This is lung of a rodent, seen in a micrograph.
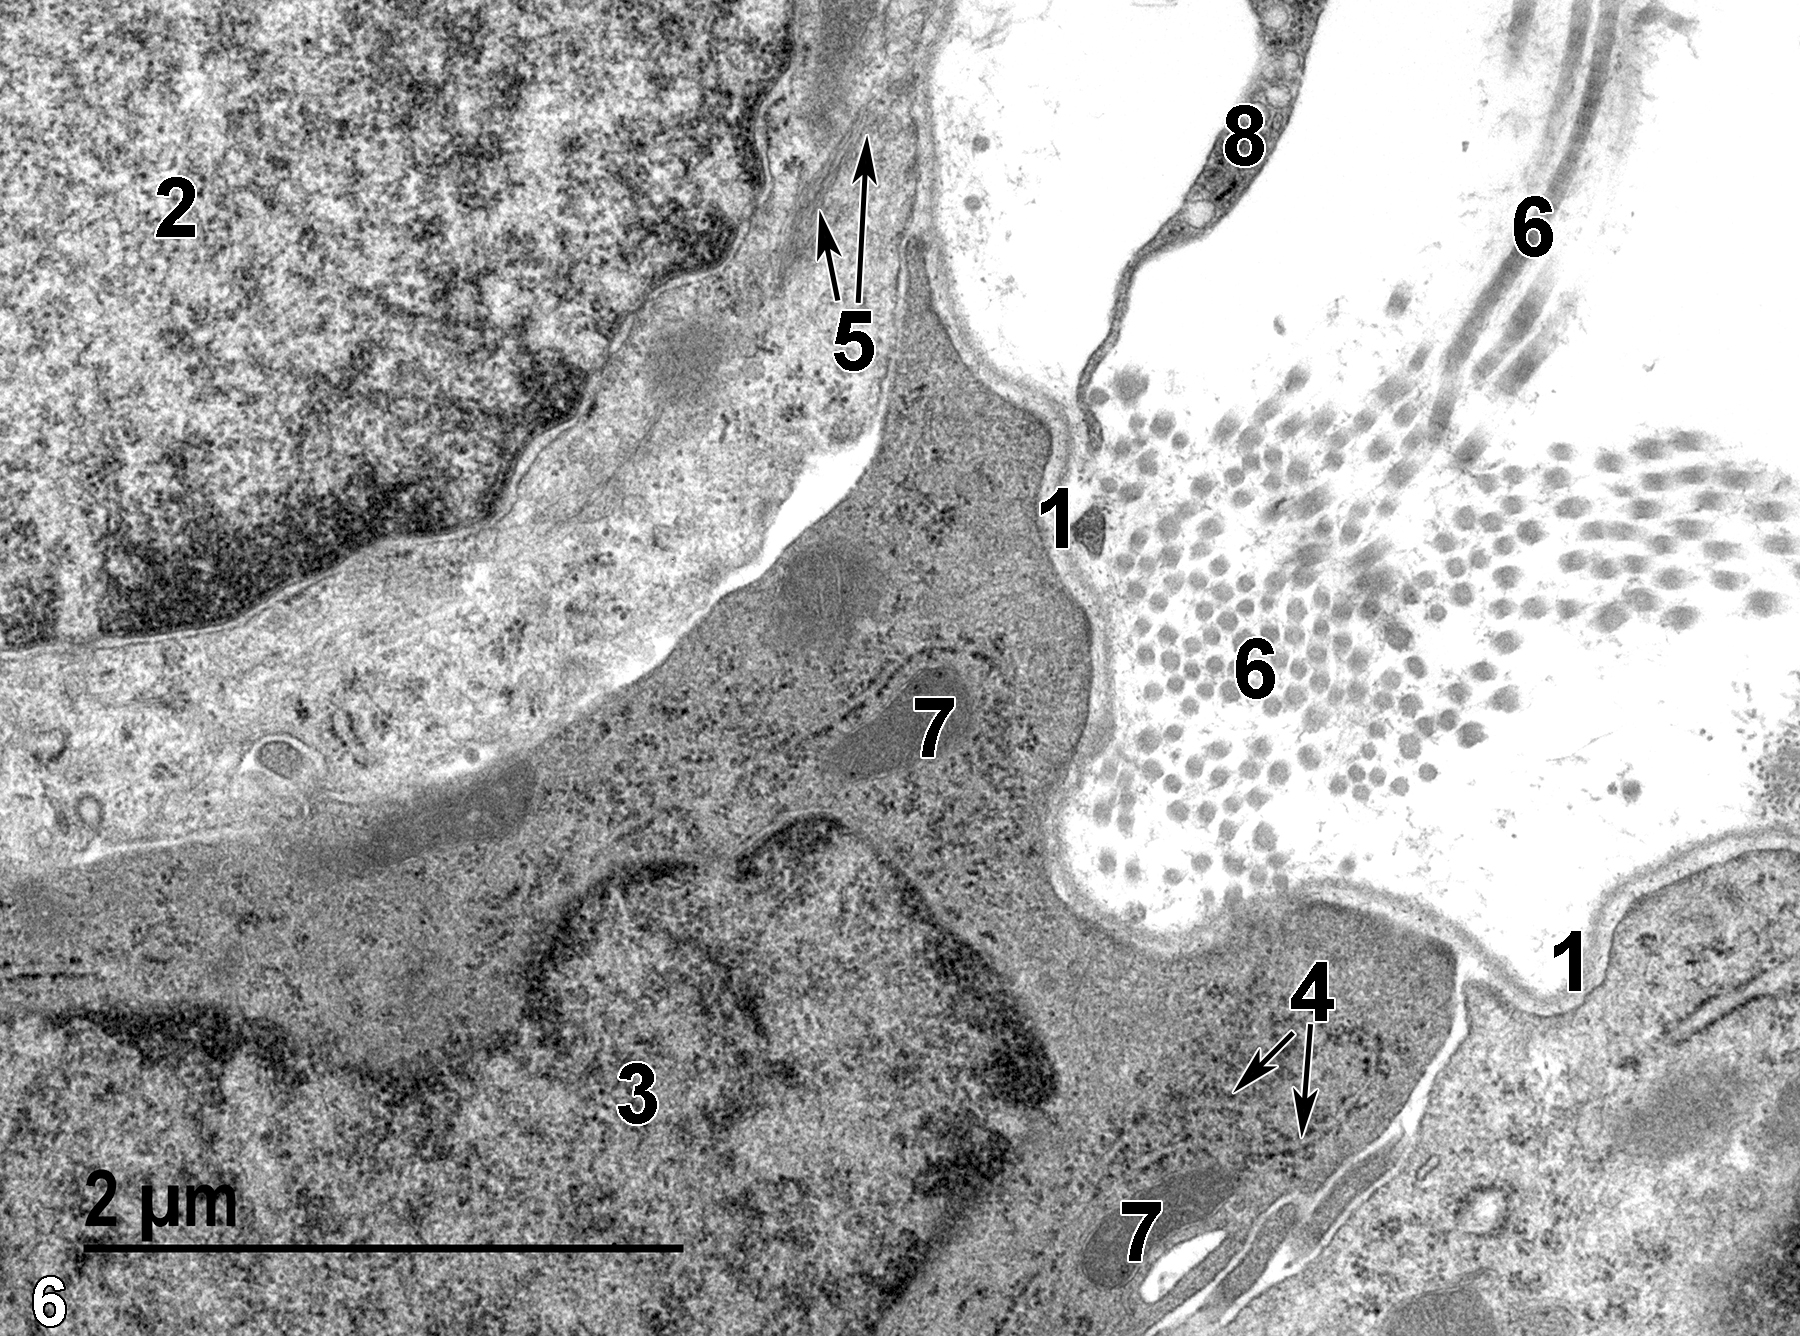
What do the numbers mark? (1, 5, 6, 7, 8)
1 - basal lamina
5 - bundles of cytoplasmic filaments
6 - collagen fibrils
7 - mitochondria
8 - segment of a fibroblast cell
